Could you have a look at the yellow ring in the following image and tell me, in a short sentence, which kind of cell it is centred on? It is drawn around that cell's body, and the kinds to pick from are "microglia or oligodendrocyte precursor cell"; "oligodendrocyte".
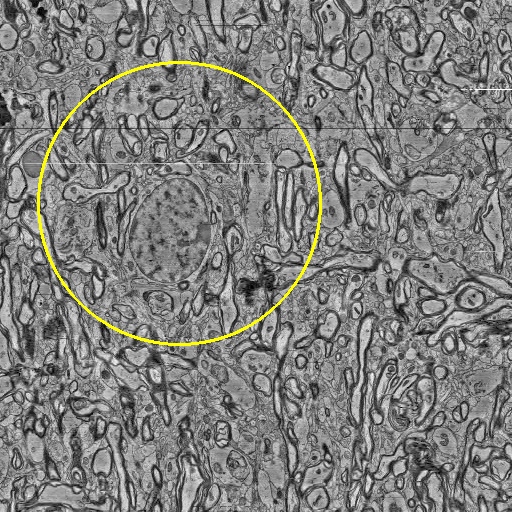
The ring is centred on the body of a microglial cell or oligodendrocyte precursor cell.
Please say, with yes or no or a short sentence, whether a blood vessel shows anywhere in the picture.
No, none appears.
